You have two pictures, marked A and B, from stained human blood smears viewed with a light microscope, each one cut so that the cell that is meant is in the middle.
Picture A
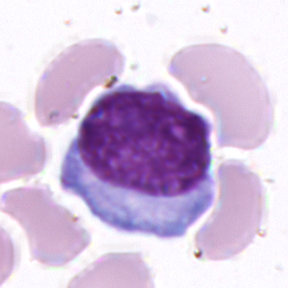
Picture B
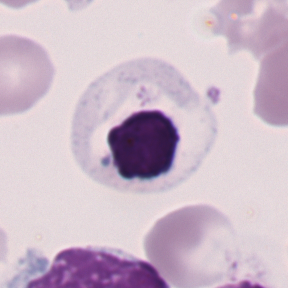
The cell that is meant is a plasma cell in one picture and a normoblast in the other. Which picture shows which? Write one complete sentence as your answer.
Picture A is of a plasma cell, and picture B is of a normoblast.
